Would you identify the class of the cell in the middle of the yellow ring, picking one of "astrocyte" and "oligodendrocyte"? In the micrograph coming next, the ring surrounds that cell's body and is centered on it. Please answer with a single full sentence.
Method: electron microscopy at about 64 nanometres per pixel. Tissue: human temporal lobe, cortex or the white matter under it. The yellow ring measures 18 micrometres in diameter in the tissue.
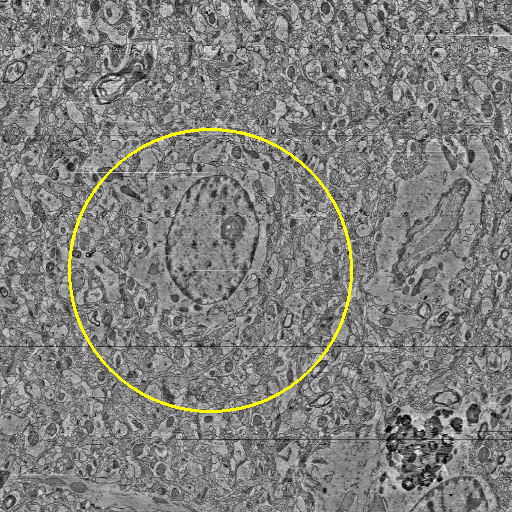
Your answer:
In the micrograph, it is an astrocyte whose body lies at the ring's center.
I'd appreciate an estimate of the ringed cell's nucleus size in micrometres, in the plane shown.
In this plane, the nucleus of the cell at the centre of the ring measures about 9 by 6 micrometres.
